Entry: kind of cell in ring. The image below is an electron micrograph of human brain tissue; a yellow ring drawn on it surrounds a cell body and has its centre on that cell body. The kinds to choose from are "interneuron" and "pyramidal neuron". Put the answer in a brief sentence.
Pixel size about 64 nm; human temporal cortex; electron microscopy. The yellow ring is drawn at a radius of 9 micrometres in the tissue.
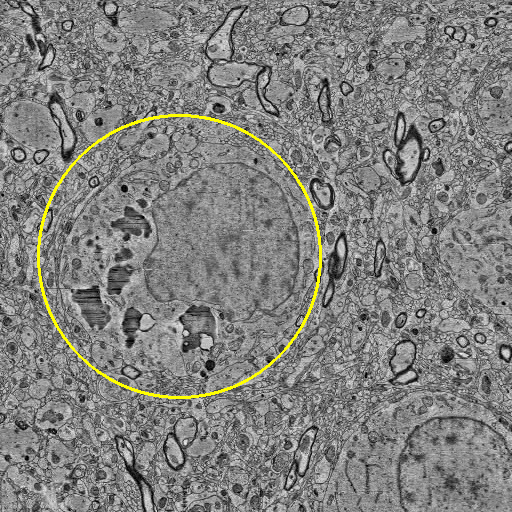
The ring has been drawn around an interneuron.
